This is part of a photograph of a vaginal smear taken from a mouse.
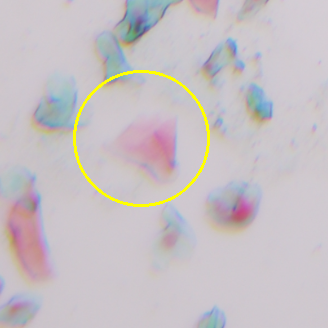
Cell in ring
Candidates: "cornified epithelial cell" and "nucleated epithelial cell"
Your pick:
cornified epithelial cell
